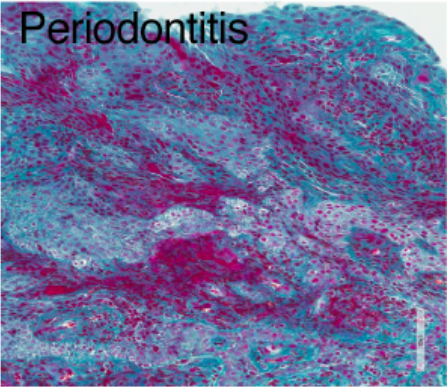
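This is oral mucosa, the epithelium and connective tissue stained blue-green with dark nuclei scattered throughout. Broad streaks and patches of red run through the tissue, heaviest in the connective tissue between strands of epithelium, and the tissue looks disorganised rather than neatly layered.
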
